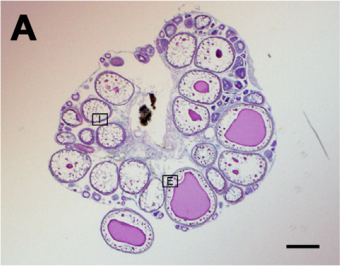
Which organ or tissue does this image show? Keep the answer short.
ovaries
